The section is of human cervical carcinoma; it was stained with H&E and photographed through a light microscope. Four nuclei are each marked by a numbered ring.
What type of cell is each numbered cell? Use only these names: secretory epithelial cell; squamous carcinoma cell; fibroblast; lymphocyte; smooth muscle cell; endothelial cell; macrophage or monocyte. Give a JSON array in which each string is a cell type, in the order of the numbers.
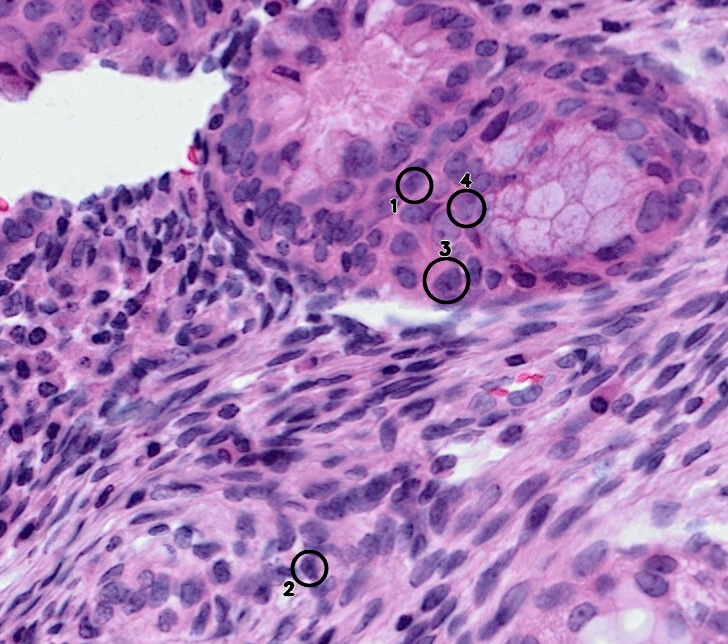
["secretory epithelial cell", "lymphocyte", "secretory epithelial cell", "secretory epithelial cell"]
